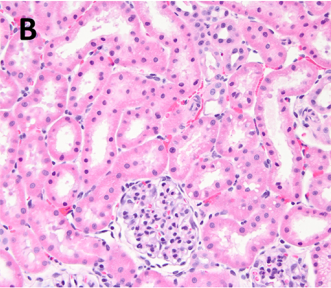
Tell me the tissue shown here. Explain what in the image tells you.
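A glomerulus lies among convoluted tubules. Tubules are cut in round and oval profiles lined by cuboidal cells with pink cytoplasm.
Answer: Renal cortex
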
